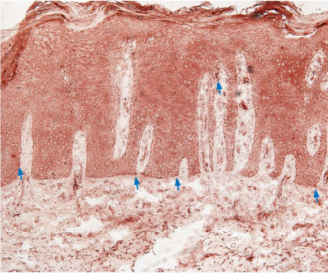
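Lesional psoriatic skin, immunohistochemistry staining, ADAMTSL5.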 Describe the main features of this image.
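The epidermis is greatly thickened and diffusely stained, with a compact layered surface on top. Long rete ridges push down into the dermis, and between them run slender pale dermal papillae that carry darker elongated profiles, the small blood vessels. Single cells at the bottom of the epidermis, along the bases and sides of the ridges, are marked by arrows; these are melanocytes in the basal layer. The dermis beneath is loose and fibrous, with scattered stained cells.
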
